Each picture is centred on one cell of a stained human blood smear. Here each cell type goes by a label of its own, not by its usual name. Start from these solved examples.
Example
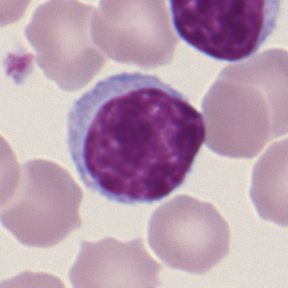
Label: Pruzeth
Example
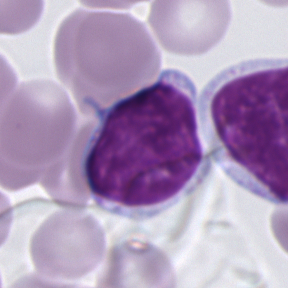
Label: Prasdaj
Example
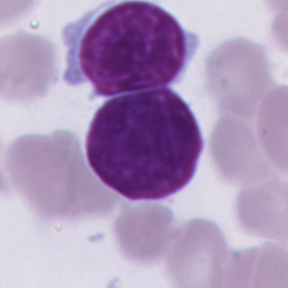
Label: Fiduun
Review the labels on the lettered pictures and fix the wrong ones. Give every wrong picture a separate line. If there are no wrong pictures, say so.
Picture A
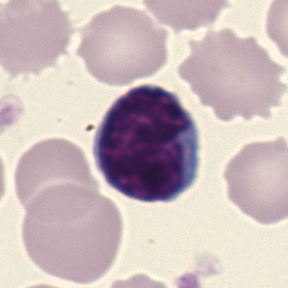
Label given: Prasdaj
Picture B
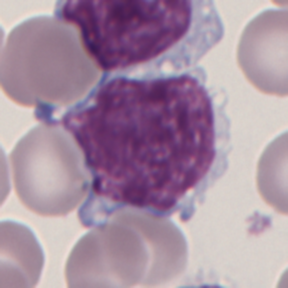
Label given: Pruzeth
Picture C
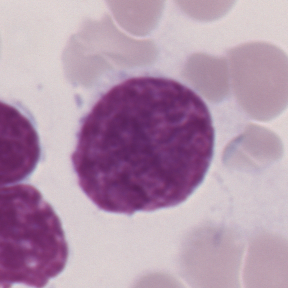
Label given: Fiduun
Wrong: A (Prasdaj); correct: Pruzeth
